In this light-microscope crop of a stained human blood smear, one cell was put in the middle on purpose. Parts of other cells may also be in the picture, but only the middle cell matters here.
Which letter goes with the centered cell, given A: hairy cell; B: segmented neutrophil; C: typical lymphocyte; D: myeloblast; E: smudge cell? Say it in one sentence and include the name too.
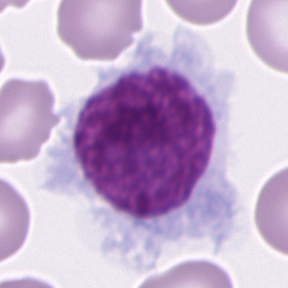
Option A is accurate; the centrally placed cell is a hairy cell.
